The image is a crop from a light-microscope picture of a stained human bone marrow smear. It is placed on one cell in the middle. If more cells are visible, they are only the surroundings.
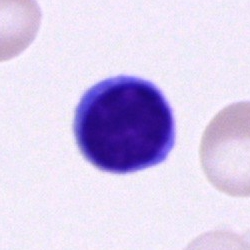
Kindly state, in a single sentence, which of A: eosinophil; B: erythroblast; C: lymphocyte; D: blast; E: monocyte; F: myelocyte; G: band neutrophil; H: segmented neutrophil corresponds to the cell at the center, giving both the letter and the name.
The cell right in the middle is a lymphocyte, so option C is the one.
